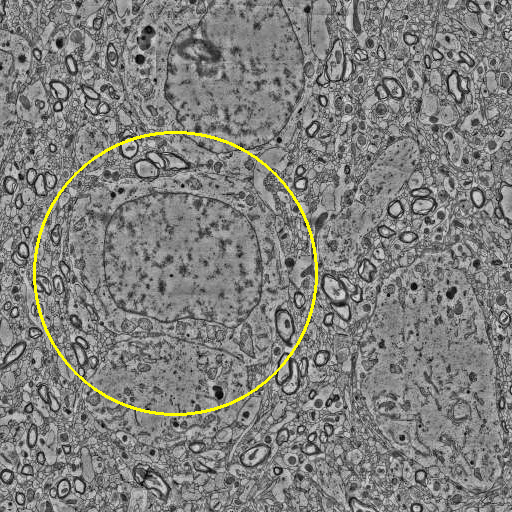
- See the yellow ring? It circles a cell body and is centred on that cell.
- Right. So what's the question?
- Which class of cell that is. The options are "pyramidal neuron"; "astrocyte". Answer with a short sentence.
The centre of the ring holds a pyramidal neuron.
